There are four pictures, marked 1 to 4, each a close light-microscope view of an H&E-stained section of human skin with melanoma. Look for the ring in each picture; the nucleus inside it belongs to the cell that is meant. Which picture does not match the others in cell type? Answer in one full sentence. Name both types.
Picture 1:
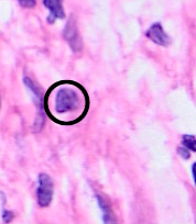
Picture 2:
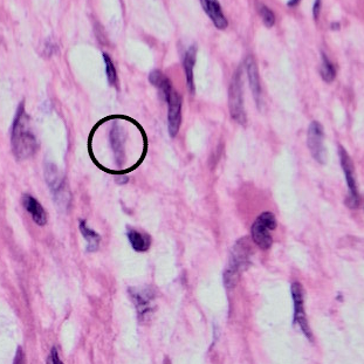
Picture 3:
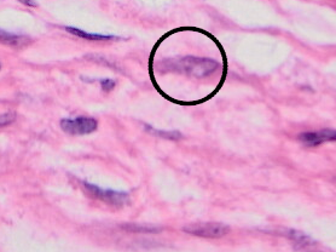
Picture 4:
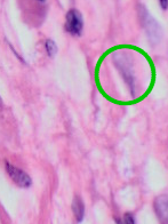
The others show “fibroblasts or myofibroblasts”, but picture 1 shows a lymphocyte.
